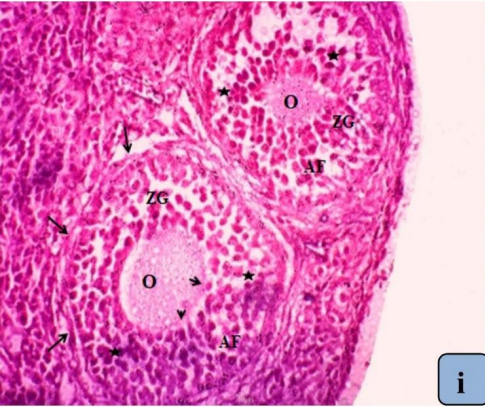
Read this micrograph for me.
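Ovarian follicles, two in view, each with a pale central oocyte surrounded by many layers of granulosa cells. The granulosa cells are small, crowded, with round dark purple nuclei; small cavities open among them. Scattered dense, dark condensed bodies lie within the granulosa layer. The cytoplasm of the oocytes looks pale and finely granular. Around each follicle a thin band of flattened, elongated cells forms an outer wall, separated in places from the granulosa by a narrow cleft. Between the follicles and at the edge lies densely cellular stroma with spindle-shaped nuclei, stained pink to purple.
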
